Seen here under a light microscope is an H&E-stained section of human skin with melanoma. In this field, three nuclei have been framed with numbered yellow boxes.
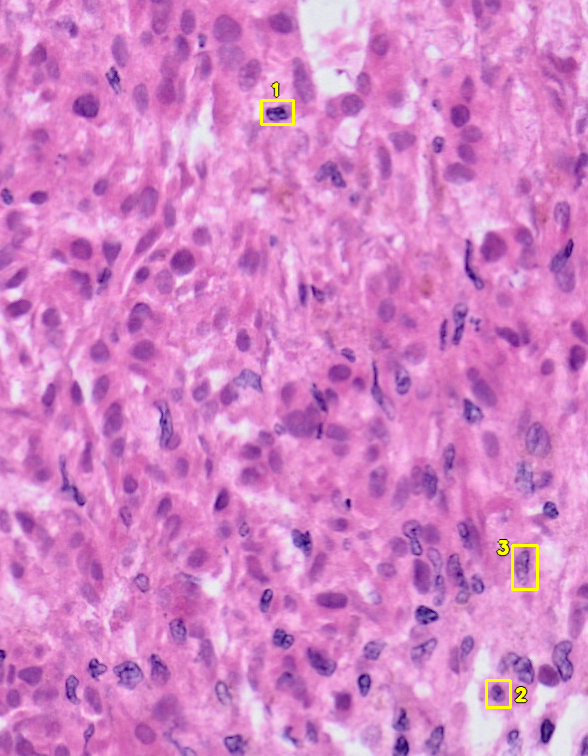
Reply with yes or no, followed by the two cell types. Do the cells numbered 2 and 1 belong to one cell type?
No, the cell marked 2 is a macrophage or monocyte, and the cell marked 1 is a lymphocyte.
